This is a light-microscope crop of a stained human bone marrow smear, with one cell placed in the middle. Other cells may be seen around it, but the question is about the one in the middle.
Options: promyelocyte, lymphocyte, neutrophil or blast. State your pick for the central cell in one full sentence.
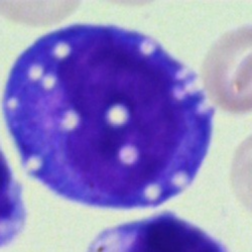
The cell centered in this field of view is a blast.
